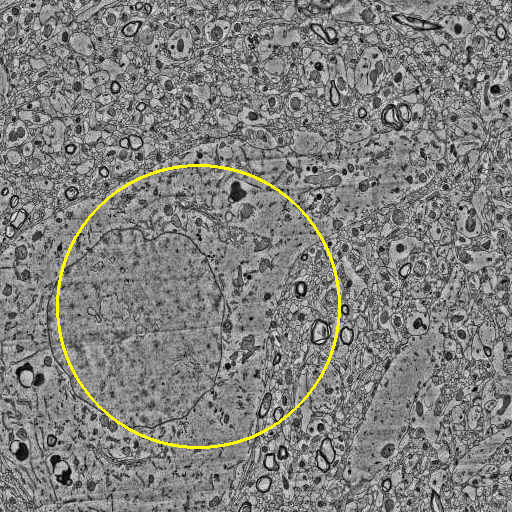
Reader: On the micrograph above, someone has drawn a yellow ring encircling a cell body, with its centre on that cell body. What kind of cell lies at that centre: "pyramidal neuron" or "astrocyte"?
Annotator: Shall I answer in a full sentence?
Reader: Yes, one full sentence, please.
Here a pyramidal neuron sits at the centre of the yellow ring drawn on the micrograph.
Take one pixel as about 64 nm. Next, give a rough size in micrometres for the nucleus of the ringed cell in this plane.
The nucleus appears about 12 micrometres across in this plane.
